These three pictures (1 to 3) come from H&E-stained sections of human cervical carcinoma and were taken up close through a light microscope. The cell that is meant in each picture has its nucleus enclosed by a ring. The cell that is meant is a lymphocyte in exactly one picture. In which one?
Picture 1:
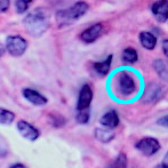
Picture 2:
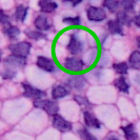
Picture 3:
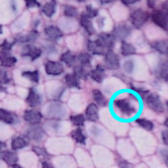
1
